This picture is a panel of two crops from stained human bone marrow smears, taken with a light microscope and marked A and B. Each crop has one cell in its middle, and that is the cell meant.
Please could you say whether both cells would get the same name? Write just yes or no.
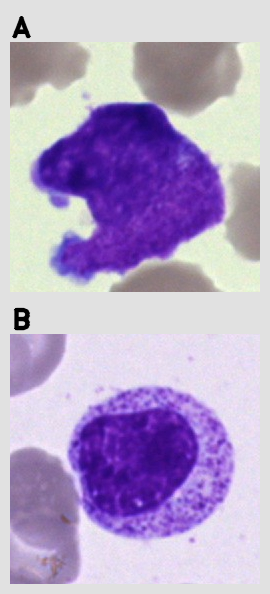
no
